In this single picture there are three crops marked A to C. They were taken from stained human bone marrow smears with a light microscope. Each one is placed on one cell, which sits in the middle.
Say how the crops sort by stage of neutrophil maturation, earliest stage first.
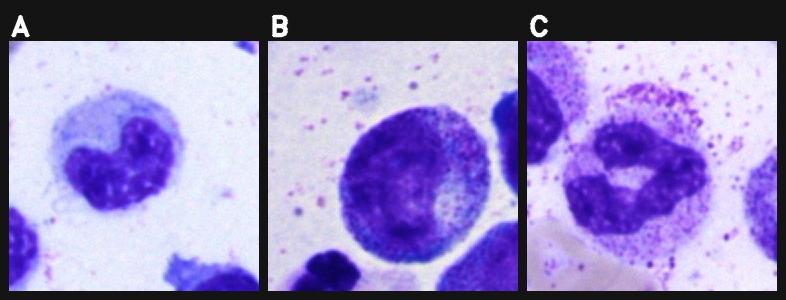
B, A, C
